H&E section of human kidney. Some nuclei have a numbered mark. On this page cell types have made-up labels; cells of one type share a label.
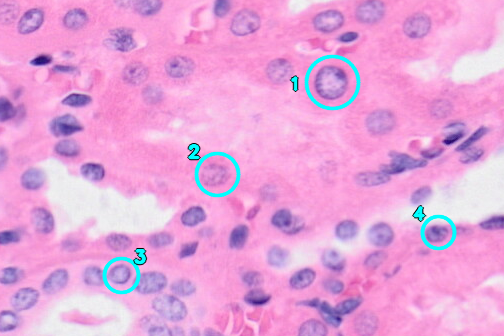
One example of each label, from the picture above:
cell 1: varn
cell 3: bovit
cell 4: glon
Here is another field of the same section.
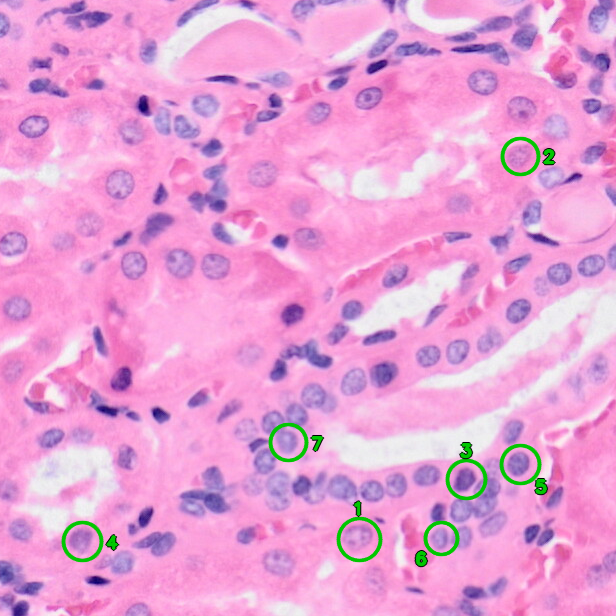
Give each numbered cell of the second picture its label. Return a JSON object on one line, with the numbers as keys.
{"1": "varn", "2": "varn", "3": "bovit", "4": "glon", "5": "bovit", "6": "bovit", "7": "bovit"}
